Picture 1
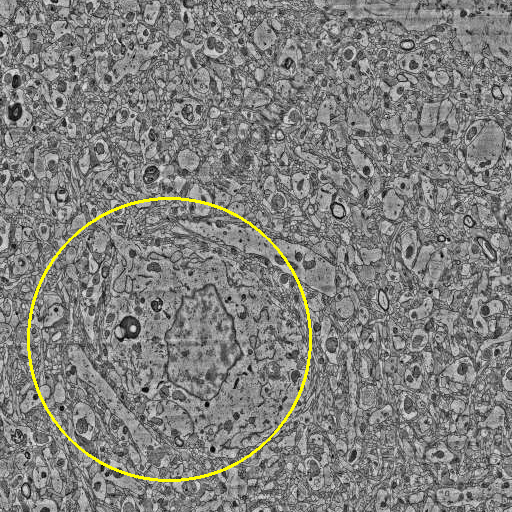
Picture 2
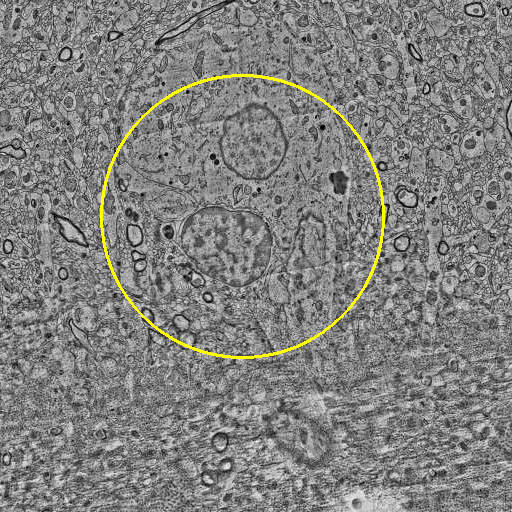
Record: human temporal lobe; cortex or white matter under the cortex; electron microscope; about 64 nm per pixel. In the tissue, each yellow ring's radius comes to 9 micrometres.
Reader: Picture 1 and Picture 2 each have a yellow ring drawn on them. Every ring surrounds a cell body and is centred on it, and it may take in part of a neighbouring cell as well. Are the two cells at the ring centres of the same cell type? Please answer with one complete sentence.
No, the cells are of two cell types.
